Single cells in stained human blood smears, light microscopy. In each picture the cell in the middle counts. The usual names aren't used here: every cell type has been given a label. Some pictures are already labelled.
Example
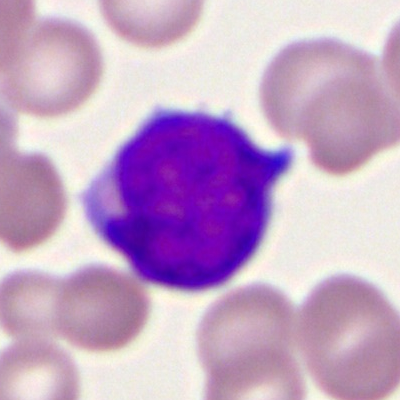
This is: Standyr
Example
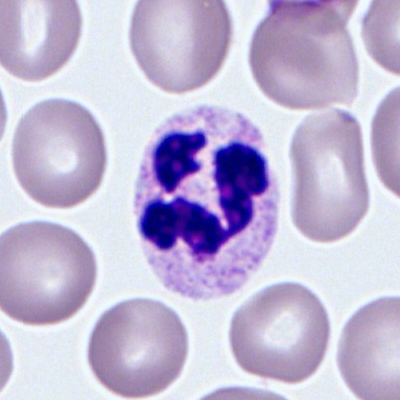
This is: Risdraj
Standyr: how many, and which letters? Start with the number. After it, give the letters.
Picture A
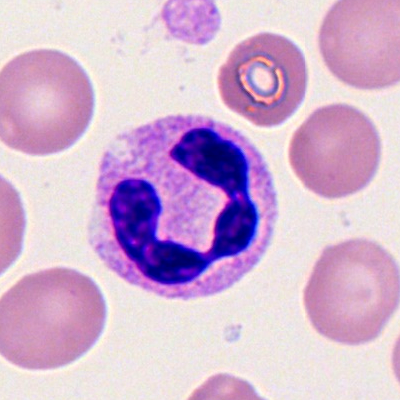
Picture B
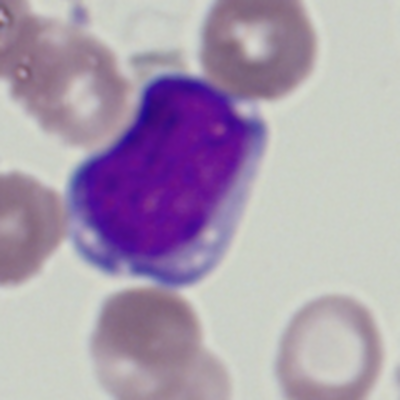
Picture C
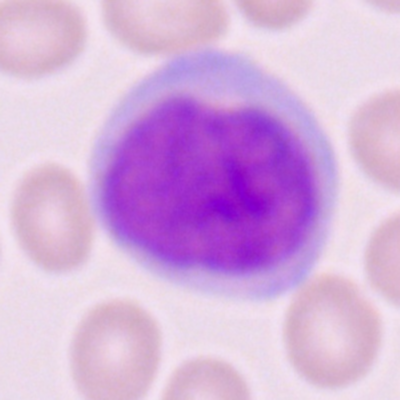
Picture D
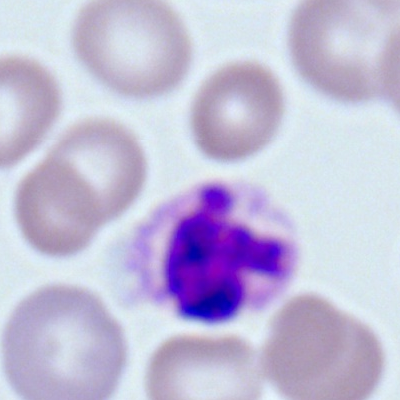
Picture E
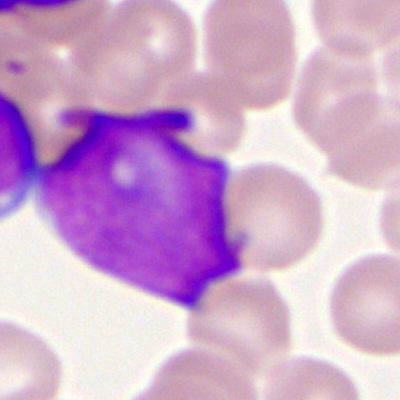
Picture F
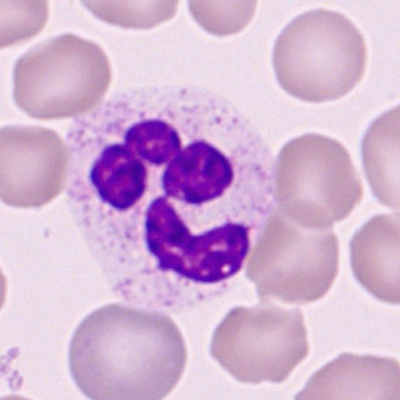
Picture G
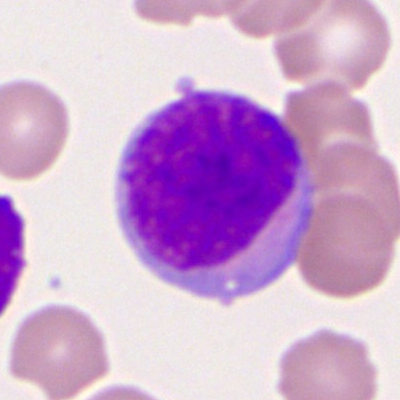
4: B, C, E, G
